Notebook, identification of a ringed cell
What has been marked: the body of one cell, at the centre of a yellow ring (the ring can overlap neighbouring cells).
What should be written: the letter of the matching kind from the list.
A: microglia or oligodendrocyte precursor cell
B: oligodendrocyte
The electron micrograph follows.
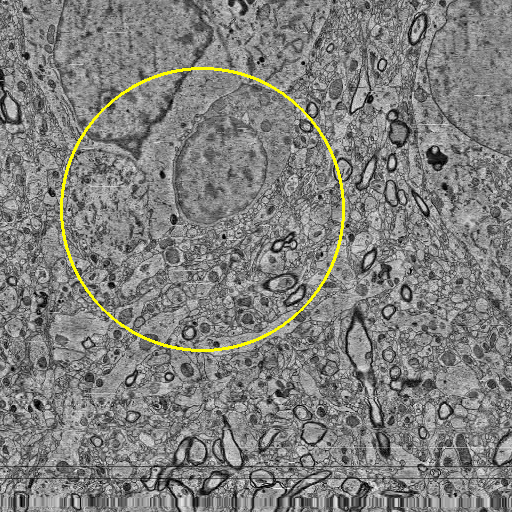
B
